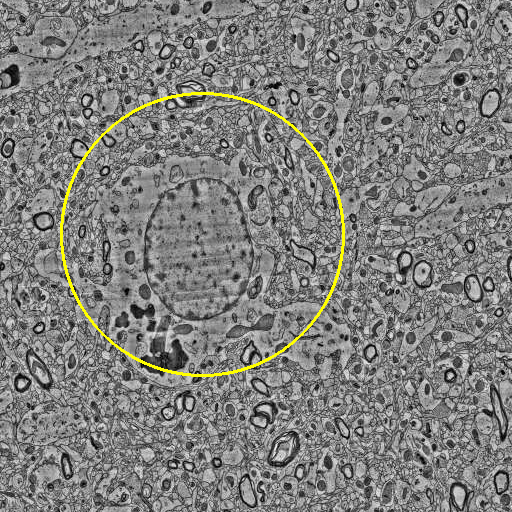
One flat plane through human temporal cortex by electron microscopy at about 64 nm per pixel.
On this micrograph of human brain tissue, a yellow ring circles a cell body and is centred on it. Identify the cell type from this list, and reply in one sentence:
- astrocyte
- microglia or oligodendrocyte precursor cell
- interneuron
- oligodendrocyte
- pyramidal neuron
The cell at the centre is an astrocyte.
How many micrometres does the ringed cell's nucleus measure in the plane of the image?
In this plane the nucleus measures roughly 9 by 7 micrometers.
